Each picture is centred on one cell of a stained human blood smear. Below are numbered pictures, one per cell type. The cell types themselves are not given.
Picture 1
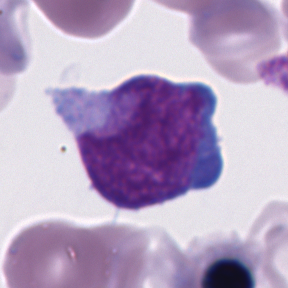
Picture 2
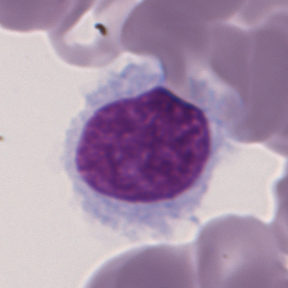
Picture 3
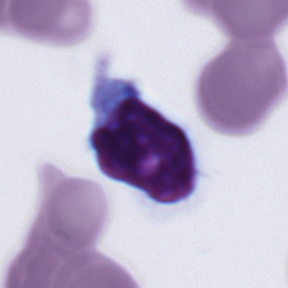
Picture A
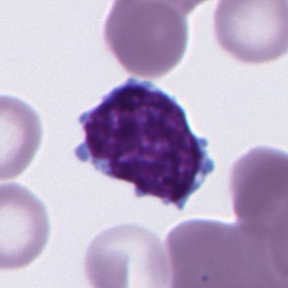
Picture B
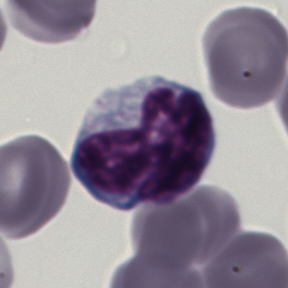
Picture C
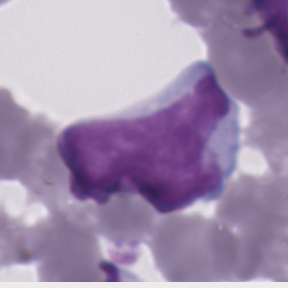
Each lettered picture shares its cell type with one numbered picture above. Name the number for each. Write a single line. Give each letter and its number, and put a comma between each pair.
A 3, B 3, C 1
